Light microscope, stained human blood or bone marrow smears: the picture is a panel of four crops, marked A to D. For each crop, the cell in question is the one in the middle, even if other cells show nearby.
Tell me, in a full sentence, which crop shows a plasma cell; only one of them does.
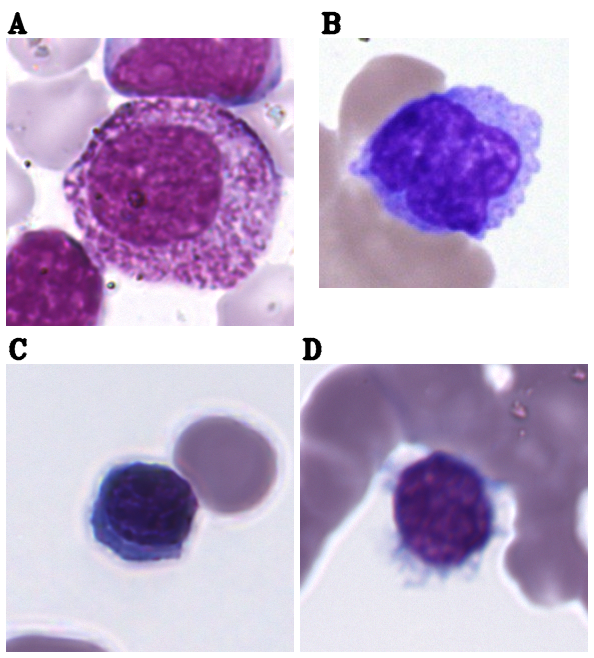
Crop C is the crop in which a plasma cell is shown.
